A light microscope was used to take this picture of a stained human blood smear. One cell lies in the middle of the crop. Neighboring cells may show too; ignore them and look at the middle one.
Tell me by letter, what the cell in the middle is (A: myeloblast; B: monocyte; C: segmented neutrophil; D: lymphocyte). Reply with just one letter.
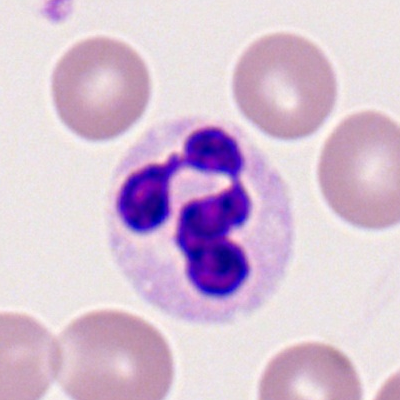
C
